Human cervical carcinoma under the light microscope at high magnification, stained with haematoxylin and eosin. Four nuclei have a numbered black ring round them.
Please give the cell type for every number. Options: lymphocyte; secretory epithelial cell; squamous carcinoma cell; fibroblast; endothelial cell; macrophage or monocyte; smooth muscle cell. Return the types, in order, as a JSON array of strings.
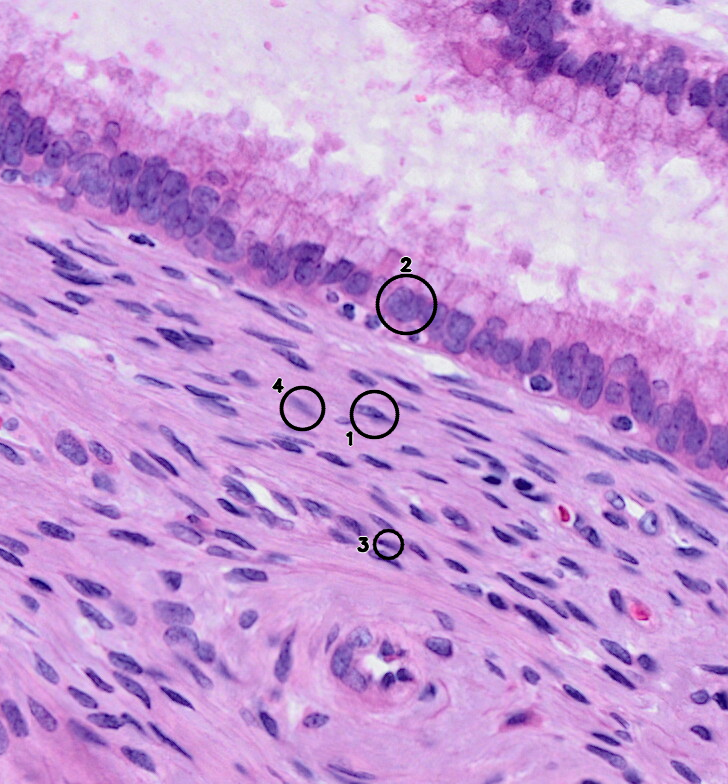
["fibroblast", "secretory epithelial cell", "fibroblast", "fibroblast"]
